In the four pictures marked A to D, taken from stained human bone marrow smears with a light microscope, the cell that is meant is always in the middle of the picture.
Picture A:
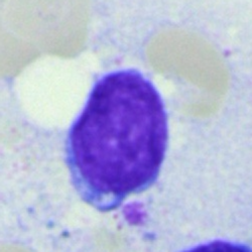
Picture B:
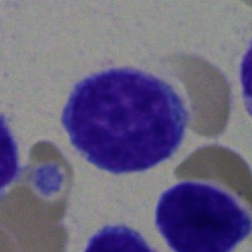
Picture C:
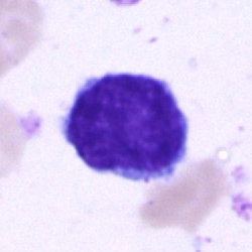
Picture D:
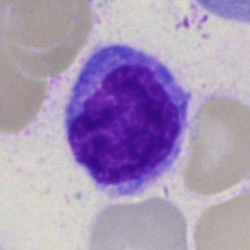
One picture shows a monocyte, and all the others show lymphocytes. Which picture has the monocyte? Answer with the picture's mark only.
D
